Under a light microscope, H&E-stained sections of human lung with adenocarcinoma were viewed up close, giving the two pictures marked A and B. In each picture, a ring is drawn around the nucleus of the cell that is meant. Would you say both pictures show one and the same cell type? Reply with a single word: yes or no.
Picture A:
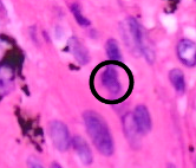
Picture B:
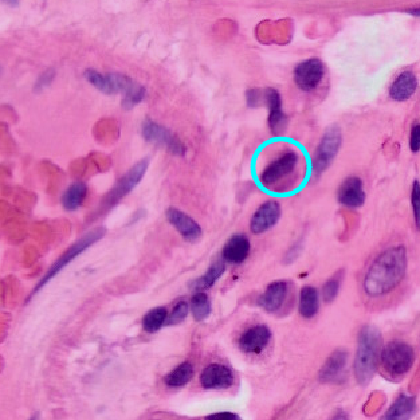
yes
